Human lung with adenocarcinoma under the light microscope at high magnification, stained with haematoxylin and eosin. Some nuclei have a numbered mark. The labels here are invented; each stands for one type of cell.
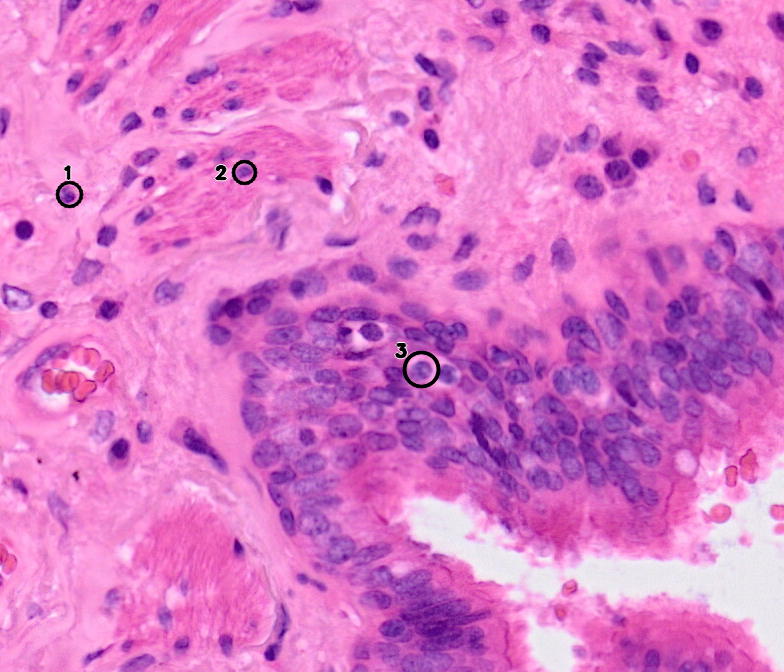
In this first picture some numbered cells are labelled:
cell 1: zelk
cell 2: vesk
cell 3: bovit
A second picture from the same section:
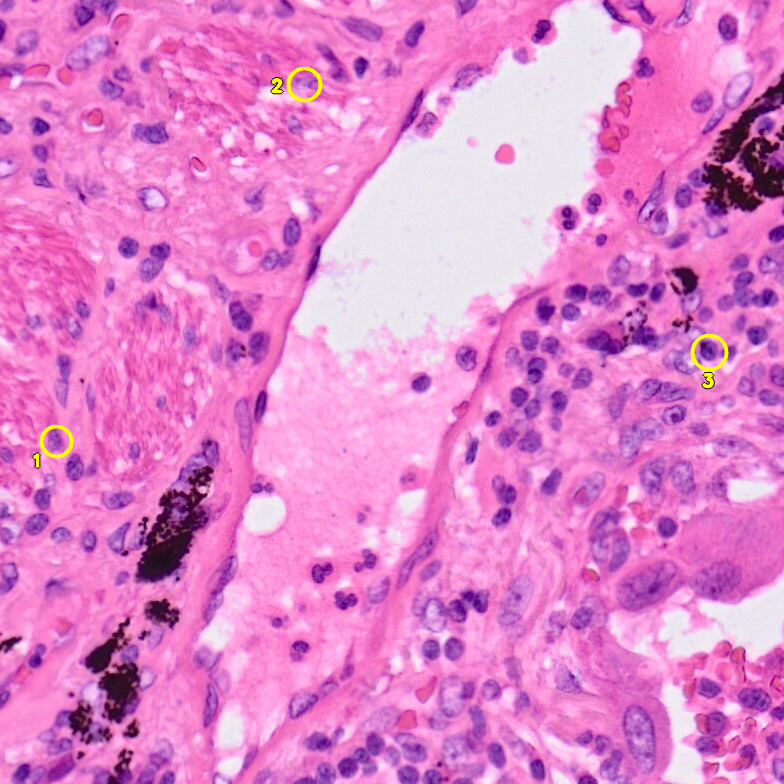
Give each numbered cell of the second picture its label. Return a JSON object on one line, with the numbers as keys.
{"1": "vesk", "2": "vesk", "3": "bovit"}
